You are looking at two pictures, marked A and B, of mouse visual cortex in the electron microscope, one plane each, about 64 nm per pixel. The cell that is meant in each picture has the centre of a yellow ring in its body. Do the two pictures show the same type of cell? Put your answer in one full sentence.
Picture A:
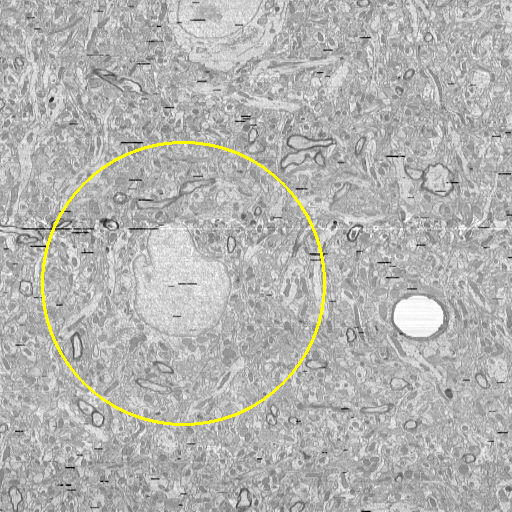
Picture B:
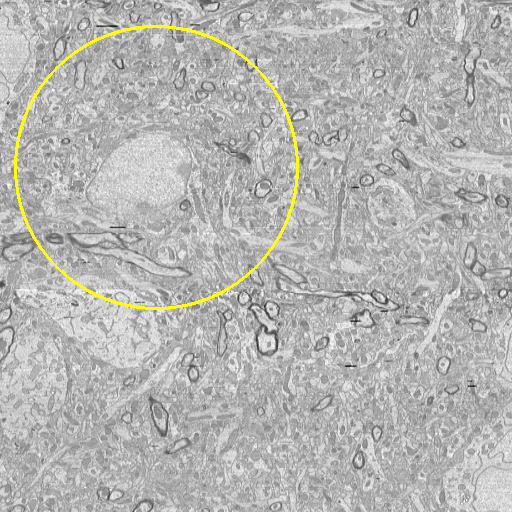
Yes, the two pictures both show astrocytes.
